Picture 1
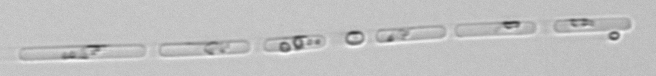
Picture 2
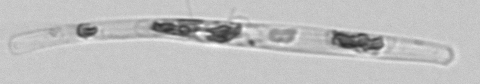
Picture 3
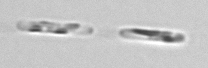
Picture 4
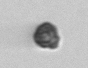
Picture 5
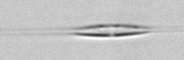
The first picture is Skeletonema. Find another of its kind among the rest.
Picture 3.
